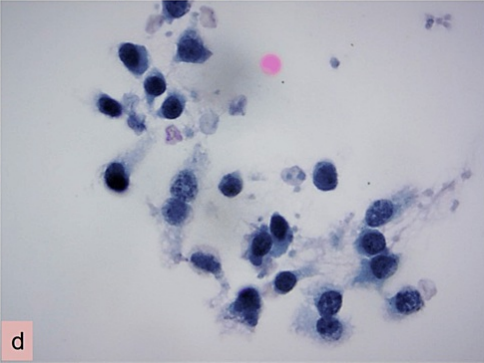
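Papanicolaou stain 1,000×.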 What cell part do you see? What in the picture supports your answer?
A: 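Cells have round nuclei and pale blue wispy cytoplasm.
Conclusion: finely stippled chromatin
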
